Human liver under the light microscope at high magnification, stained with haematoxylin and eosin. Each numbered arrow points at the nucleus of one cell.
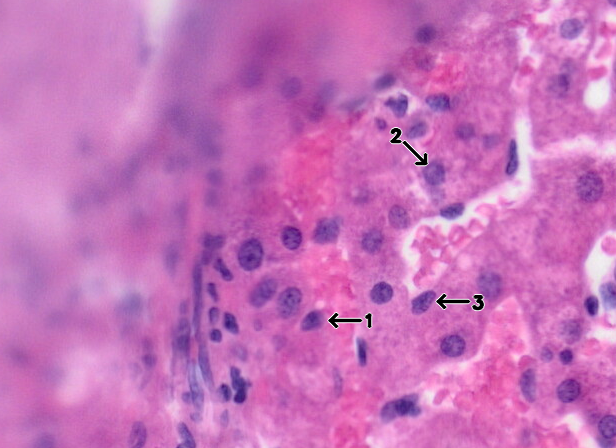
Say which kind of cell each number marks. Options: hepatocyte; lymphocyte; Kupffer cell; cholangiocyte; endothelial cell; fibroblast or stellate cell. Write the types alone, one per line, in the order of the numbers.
fibroblast or stellate cell
hepatocyte
fibroblast or stellate cell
